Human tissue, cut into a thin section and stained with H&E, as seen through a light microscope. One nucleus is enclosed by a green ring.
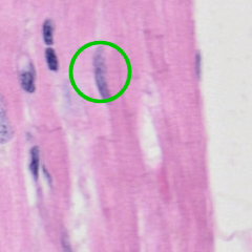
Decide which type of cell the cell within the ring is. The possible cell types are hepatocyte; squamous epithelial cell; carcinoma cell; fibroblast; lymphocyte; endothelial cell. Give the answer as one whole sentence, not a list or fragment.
The category to which the cell within the ring belongs is that of an endothelial cell.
